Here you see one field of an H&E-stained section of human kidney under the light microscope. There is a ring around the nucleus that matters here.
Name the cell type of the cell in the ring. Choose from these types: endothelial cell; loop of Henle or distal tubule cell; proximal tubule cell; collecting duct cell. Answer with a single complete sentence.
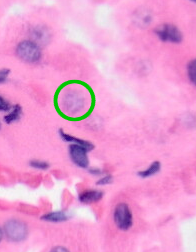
In this section, the cell in the ring is a proximal tubule cell.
